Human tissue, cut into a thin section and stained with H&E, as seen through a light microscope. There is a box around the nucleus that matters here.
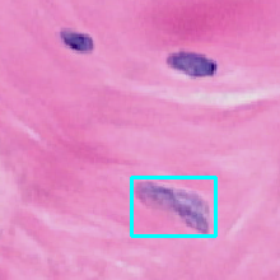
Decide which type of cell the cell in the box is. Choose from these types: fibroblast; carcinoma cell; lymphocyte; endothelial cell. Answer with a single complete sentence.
Cell type answer for this item: the cell in the box is a fibroblast.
